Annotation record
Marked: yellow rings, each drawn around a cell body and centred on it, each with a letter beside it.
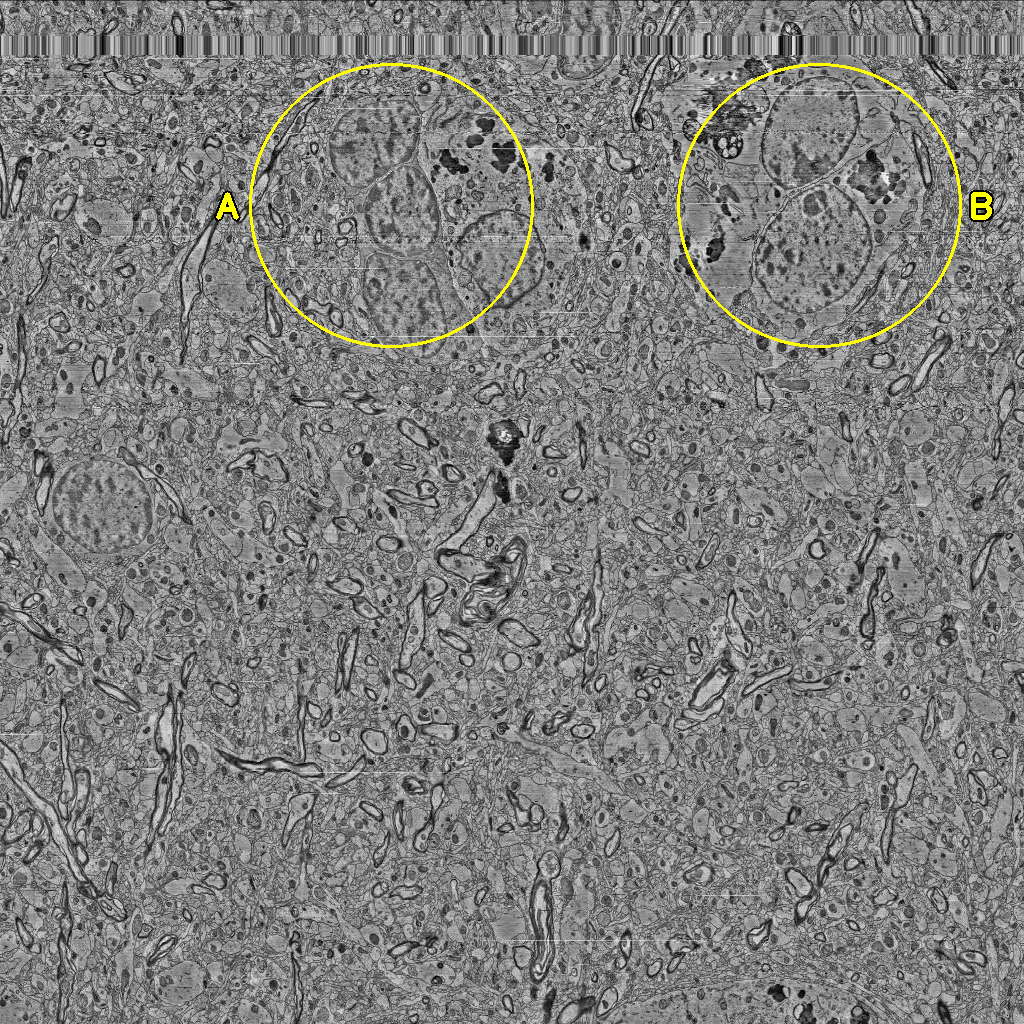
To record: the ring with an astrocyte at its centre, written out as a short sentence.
The ring centred on it is ring B.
